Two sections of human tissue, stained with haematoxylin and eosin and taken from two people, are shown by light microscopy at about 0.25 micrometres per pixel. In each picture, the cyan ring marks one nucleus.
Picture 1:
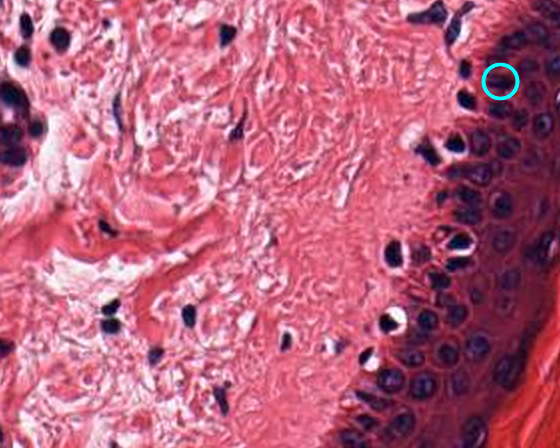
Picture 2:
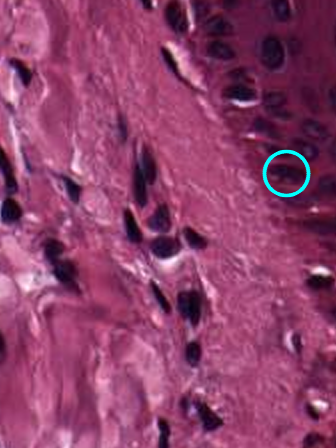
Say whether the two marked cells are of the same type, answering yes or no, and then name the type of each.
Yes, both are keratinocytes.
